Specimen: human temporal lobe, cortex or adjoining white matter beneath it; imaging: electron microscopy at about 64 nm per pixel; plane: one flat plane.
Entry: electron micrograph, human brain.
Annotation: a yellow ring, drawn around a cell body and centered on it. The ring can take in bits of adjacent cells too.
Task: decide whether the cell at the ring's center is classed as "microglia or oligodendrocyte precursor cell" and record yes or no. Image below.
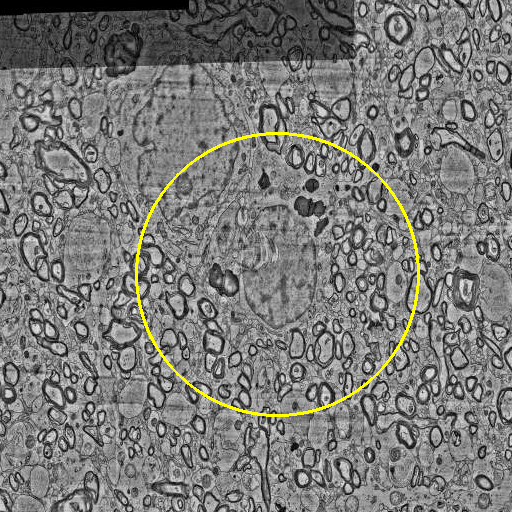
no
